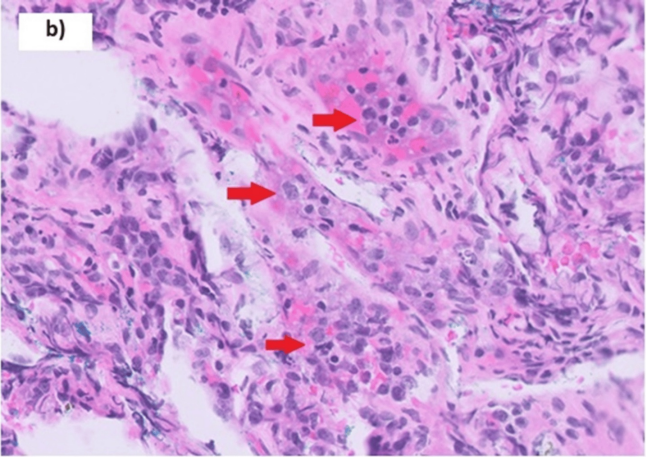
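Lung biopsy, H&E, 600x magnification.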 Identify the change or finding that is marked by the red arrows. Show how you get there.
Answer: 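The arrows point to clusters of cells with large, dark, crowded nuclei. These cells sit within narrow channels among pink lung tissue. Their nuclei are larger than those of the surrounding stromal cells. On this evidence: intravascular infiltrate of atypical medium to large cells.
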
